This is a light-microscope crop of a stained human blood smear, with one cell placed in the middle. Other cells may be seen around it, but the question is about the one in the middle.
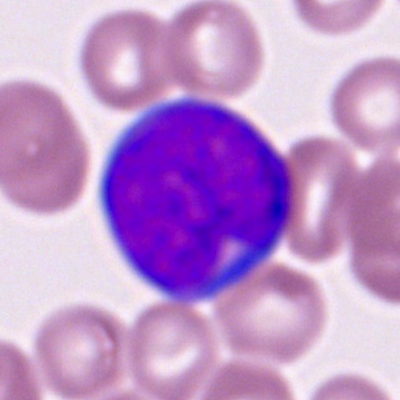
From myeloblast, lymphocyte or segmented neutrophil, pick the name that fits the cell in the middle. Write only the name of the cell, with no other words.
myeloblast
